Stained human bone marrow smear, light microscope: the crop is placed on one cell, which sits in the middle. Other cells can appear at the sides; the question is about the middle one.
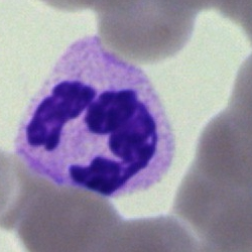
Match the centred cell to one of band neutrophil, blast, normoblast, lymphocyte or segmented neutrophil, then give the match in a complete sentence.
The cell of interest, in the center, is a segmented neutrophil.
